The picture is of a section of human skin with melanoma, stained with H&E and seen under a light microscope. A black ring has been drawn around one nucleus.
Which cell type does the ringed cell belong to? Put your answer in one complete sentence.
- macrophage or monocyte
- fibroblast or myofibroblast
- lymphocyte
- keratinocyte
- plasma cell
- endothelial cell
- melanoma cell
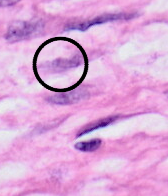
Assigned to a cell type, the ringed cell is a fibroblast or myofibroblast.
